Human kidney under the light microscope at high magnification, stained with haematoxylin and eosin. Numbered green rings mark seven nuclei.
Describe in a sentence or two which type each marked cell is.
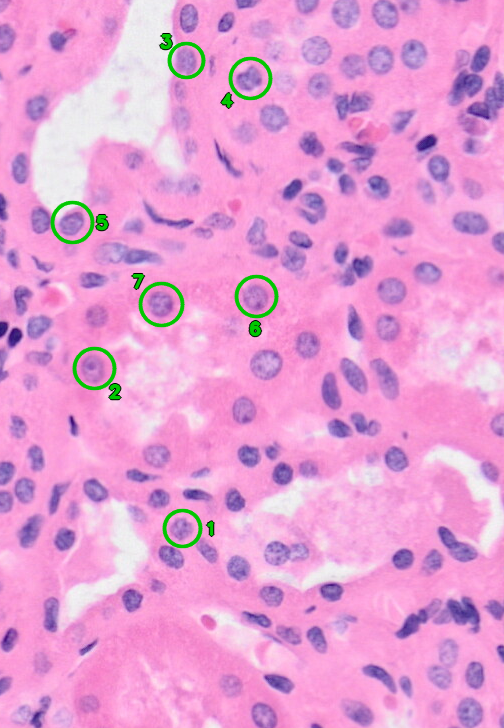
Cells 1, 3, 4 and 5 are loop of Henle or distal tubule cells. Cells 2, 6 and 7 are proximal tubule cells.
